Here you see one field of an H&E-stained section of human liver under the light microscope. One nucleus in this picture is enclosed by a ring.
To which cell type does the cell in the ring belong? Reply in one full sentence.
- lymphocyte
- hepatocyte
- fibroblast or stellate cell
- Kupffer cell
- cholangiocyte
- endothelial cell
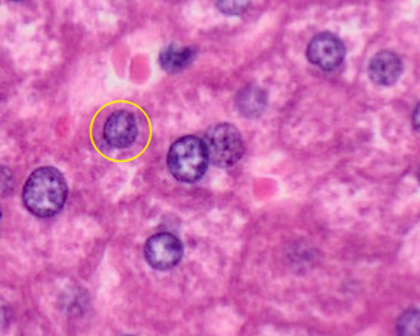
Typologically, the cell in the ring is a hepatocyte in this section.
